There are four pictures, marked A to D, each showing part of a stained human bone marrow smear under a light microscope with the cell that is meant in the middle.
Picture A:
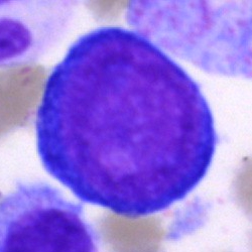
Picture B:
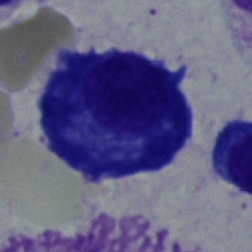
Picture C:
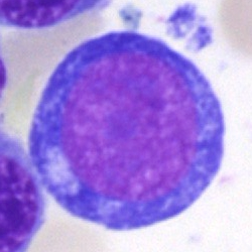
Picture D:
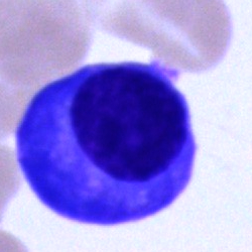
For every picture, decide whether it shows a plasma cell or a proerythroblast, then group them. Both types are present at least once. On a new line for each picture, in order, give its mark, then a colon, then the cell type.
A: proerythroblast
B: plasma cell
C: proerythroblast
D: plasma cell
